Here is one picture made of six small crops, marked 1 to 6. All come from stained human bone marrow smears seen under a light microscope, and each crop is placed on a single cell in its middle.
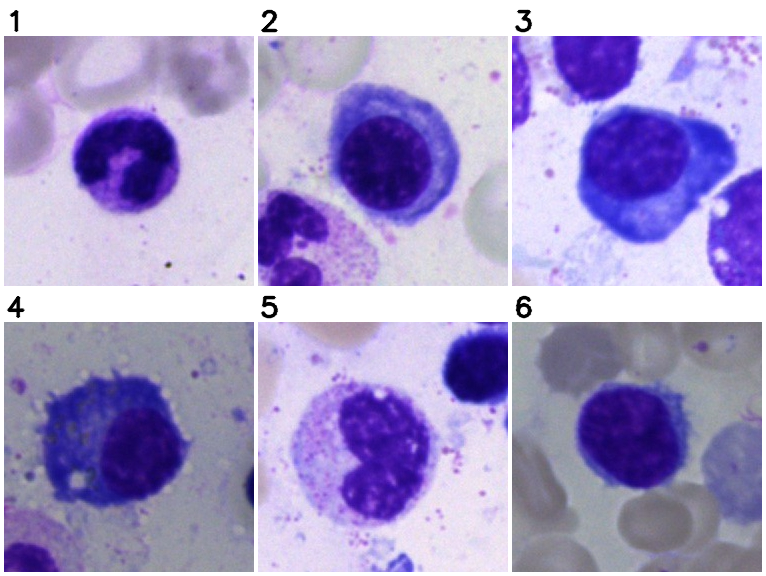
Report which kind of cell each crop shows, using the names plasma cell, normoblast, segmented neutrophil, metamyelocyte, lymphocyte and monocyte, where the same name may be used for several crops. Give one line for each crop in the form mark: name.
1: segmented neutrophil
2: normoblast
3: plasma cell
4: plasma cell
5: metamyelocyte
6: lymphocyte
